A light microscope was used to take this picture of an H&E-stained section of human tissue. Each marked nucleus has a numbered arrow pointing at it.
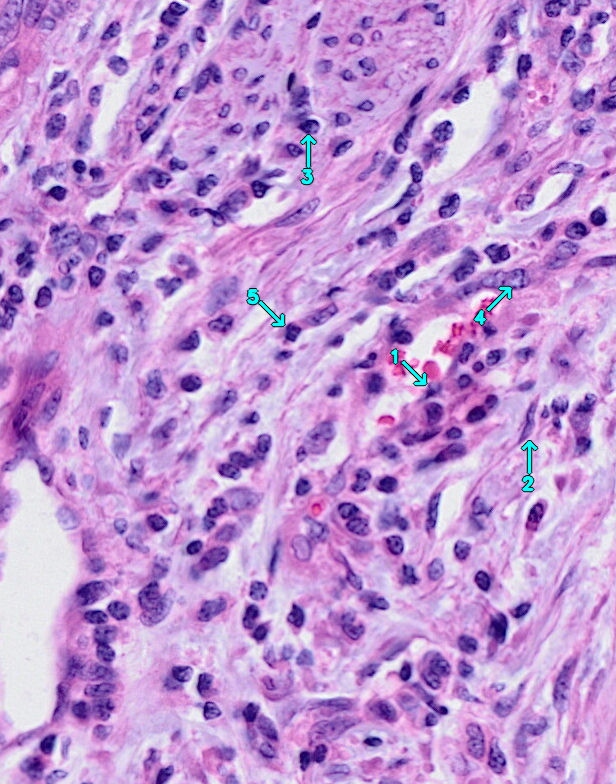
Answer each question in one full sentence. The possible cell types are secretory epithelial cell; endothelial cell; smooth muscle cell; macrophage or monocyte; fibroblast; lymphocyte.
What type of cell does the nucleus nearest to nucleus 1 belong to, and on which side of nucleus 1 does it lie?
Lying below nucleus 1, the nearest nucleus is that of a lymphocyte.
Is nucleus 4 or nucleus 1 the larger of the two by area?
Number 4 is larger; its area is about 1.5 times that of number 1.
